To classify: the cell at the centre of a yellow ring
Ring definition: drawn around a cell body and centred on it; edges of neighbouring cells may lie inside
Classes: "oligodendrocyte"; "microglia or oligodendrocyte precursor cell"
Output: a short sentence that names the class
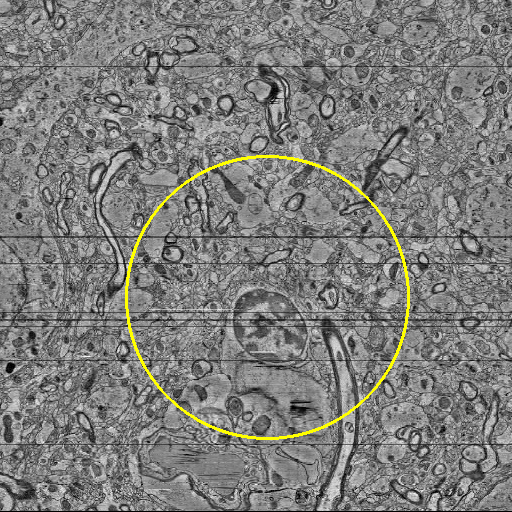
The ringed cell is a microglial cell or oligodendrocyte precursor cell.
